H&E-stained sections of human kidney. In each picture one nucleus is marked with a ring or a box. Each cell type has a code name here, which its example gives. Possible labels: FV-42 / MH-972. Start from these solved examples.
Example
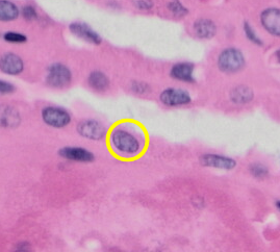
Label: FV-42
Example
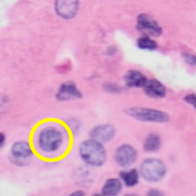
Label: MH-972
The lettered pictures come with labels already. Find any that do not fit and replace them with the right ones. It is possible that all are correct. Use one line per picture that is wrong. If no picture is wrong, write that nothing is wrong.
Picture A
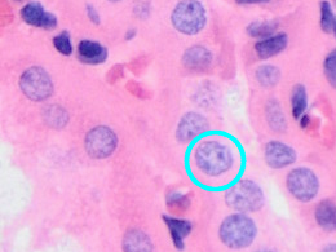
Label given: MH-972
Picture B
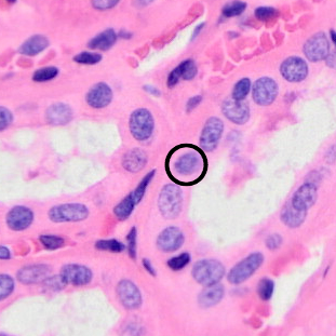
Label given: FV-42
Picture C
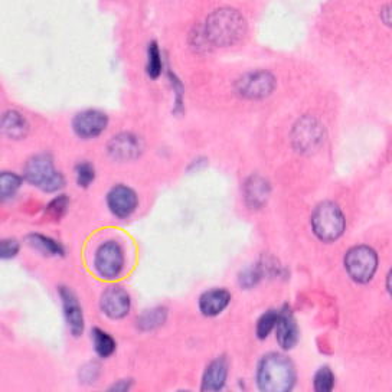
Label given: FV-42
B: not FV-42 but MH-972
